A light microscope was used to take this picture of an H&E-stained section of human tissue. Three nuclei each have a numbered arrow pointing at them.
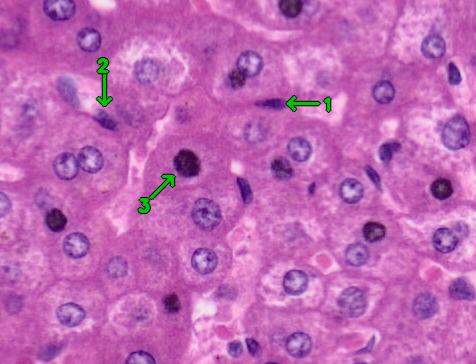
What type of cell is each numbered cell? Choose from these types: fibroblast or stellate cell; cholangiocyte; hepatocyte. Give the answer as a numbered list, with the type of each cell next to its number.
1. fibroblast or stellate cell
2. fibroblast or stellate cell
3. hepatocyte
